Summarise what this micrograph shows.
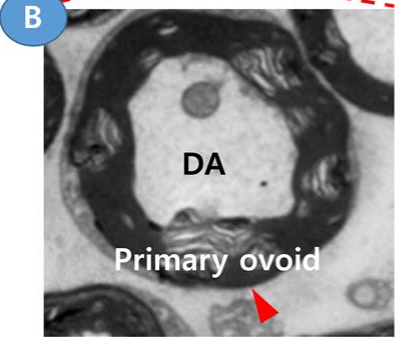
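The ring is uneven in thickness and holds whorled, layered myelin debris in places, especially along its lower side. Neighbouring fibres with their own dark sheaths lie at the edges of the field.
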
